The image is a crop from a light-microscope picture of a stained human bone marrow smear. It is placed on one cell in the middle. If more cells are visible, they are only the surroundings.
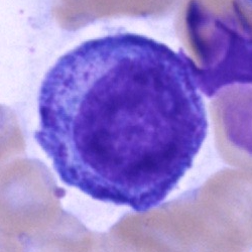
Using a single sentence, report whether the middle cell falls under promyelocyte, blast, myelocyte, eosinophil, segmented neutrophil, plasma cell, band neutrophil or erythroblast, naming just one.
The cell in the middle of the field of view is a promyelocyte.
